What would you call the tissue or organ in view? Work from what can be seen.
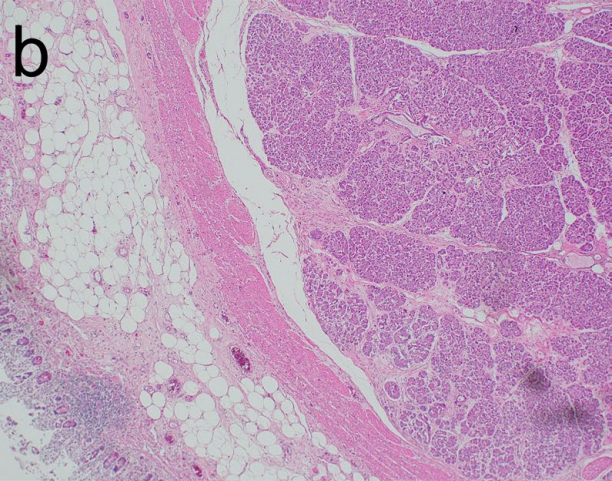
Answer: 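Lobules of densely packed purple acinar glands separated by thin pink septa. Adipose tissue and a band of smooth muscle lie to the left of the lobules. On this evidence: pancreatic tissue.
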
